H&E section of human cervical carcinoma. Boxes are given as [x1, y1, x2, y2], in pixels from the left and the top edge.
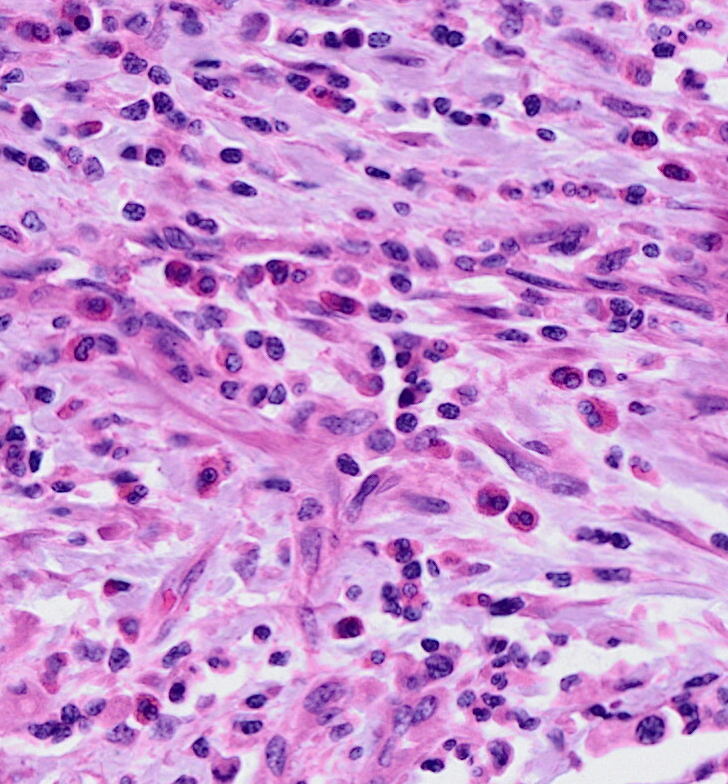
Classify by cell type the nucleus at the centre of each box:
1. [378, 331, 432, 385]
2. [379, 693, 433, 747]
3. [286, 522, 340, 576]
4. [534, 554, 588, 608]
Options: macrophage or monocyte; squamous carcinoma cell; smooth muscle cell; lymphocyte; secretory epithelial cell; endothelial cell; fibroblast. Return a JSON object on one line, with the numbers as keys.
{"1": "lymphocyte", "2": "endothelial cell", "3": "endothelial cell", "4": "lymphocyte"}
